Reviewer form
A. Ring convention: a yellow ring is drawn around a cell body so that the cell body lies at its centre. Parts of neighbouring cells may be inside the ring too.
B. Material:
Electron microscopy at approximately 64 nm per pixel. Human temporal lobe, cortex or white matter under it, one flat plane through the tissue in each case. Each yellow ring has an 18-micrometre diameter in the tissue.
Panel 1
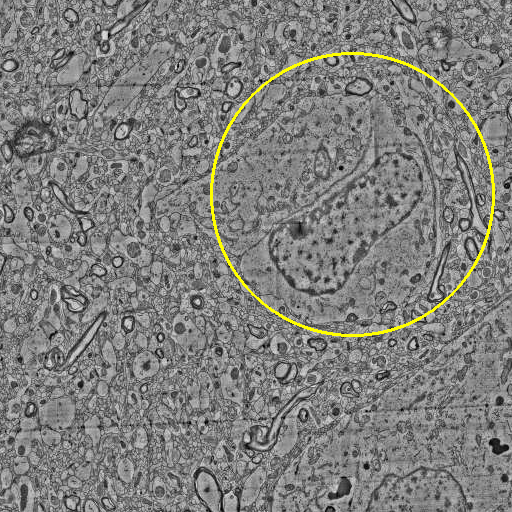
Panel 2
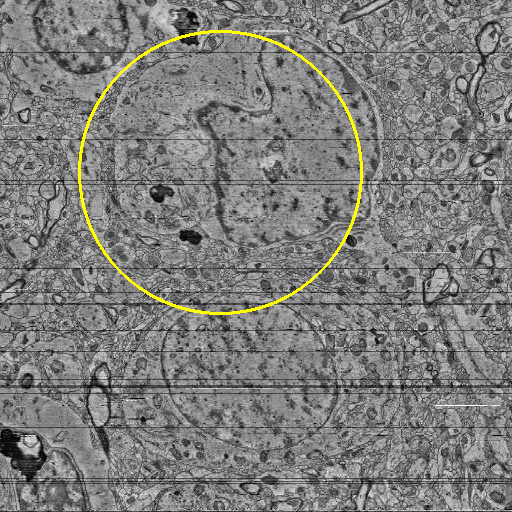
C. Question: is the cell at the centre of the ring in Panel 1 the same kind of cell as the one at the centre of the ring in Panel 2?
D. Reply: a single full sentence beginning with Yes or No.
Yes, the cells in Panel 1 and Panel 2 are the same kind of cell.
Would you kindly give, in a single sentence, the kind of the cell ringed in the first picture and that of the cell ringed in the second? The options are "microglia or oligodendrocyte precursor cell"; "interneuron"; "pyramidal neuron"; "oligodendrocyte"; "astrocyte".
Each one of the two ringed cells is a microglial cell or oligodendrocyte precursor cell.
